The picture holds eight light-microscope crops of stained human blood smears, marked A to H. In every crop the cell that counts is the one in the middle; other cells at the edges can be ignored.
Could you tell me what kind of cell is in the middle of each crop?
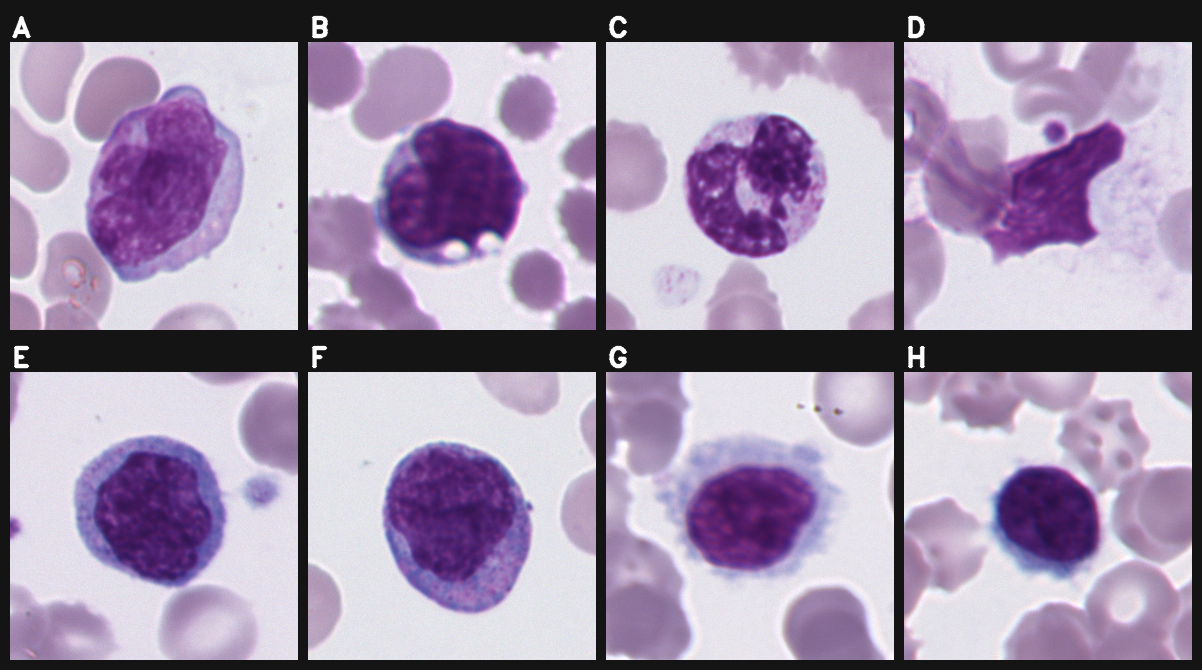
A: atypical promyelocyte
B: monocyte
C: neutrophil
D: smudge cell
E: monocyte
F: atypical promyelocyte
G: hairy cell
H: hairy cell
